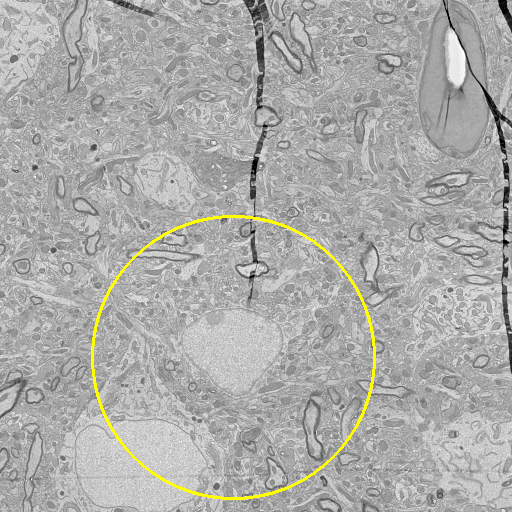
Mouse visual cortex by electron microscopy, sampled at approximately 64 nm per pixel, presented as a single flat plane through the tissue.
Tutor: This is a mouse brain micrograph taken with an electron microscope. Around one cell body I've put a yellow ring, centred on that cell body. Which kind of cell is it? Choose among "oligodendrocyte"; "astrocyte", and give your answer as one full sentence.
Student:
Going by your list, the cell centred in the yellow ring is an astrocyte.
